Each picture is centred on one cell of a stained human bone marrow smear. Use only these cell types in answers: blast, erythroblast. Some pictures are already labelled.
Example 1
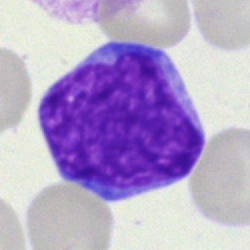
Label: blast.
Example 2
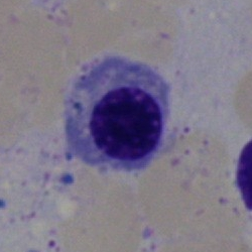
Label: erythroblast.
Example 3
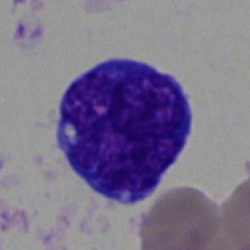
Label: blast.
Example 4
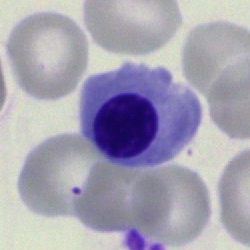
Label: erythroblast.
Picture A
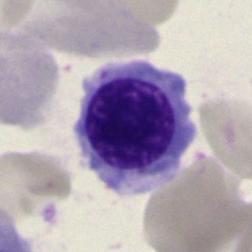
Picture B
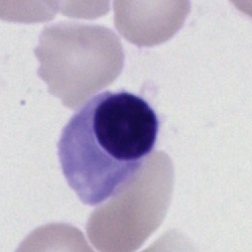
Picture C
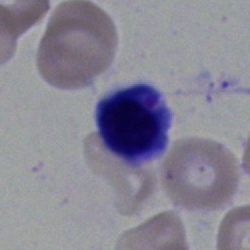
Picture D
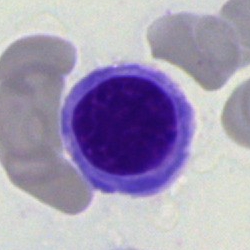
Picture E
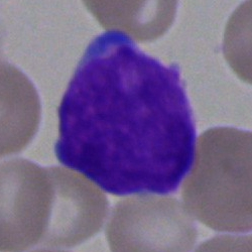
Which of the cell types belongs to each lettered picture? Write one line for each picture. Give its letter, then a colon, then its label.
A: erythroblast.
B: erythroblast.
C: erythroblast.
D: erythroblast.
E: blast.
